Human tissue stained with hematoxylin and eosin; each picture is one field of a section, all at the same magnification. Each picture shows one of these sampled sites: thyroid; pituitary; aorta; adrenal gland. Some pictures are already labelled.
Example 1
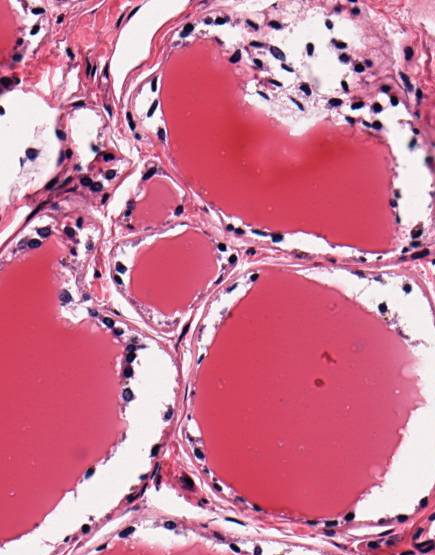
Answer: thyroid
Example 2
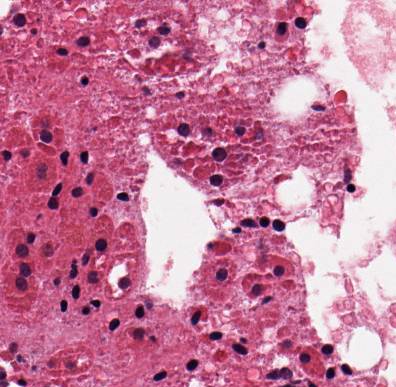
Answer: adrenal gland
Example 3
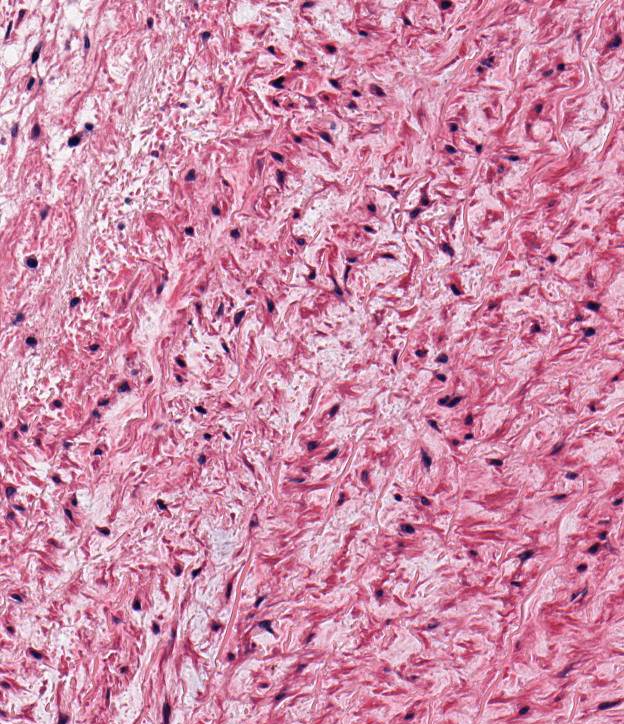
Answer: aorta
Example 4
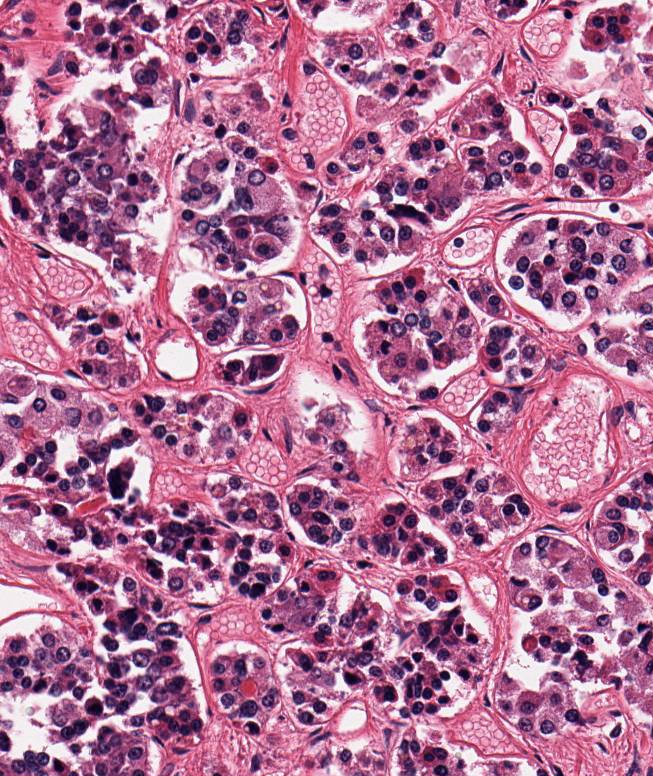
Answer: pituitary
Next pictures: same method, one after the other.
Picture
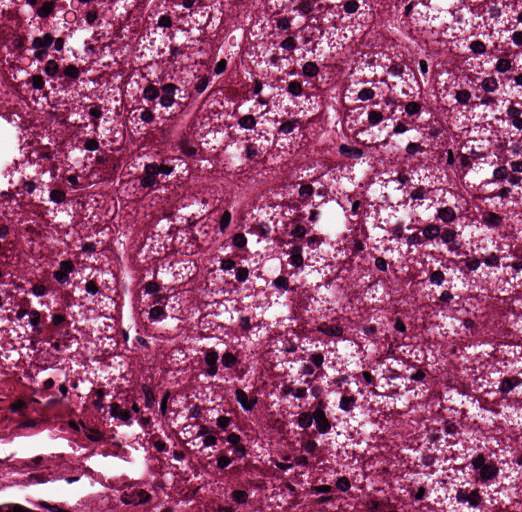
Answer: adrenal gland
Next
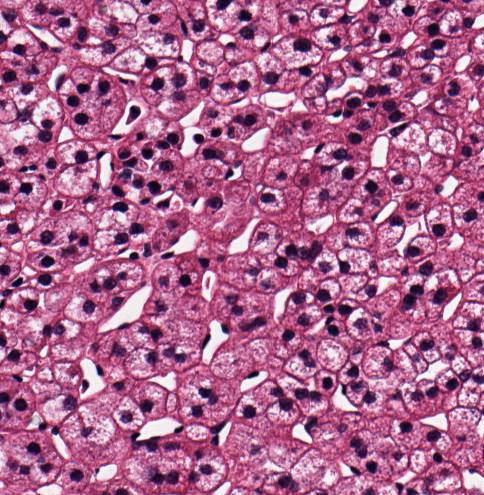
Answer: adrenal gland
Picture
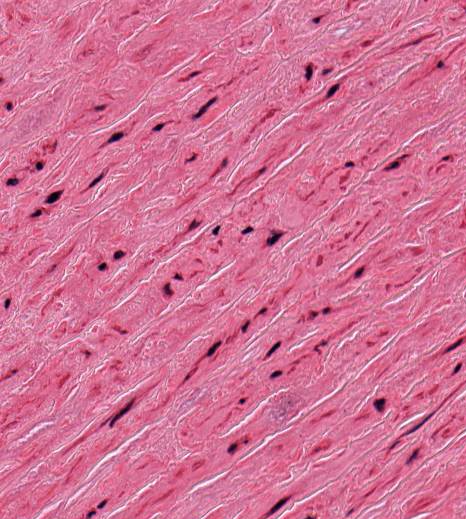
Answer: aorta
